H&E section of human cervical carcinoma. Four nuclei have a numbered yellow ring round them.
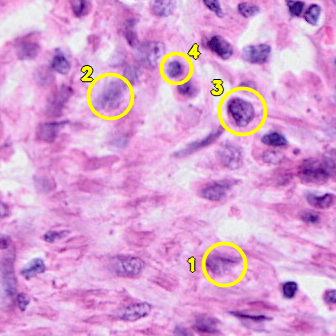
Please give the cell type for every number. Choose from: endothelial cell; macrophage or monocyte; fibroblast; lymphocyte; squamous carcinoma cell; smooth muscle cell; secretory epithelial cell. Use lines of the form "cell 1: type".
cell 1: fibroblast
cell 2: fibroblast
cell 3: macrophage or monocyte
cell 4: lymphocyte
